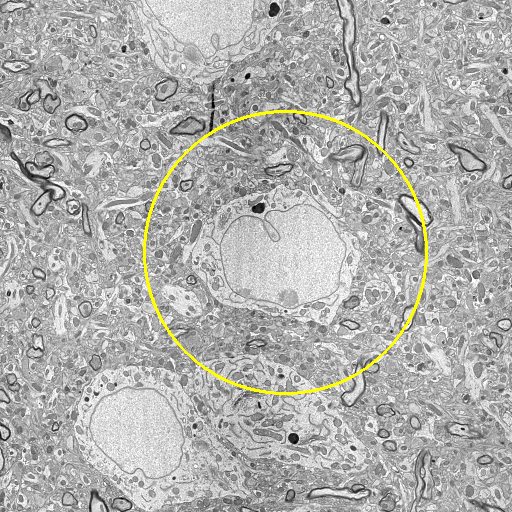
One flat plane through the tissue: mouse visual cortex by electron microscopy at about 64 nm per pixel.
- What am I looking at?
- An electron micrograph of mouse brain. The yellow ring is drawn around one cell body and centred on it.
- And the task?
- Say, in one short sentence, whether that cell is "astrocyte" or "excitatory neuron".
The cell in the middle of the ring is an excitatory neuron.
